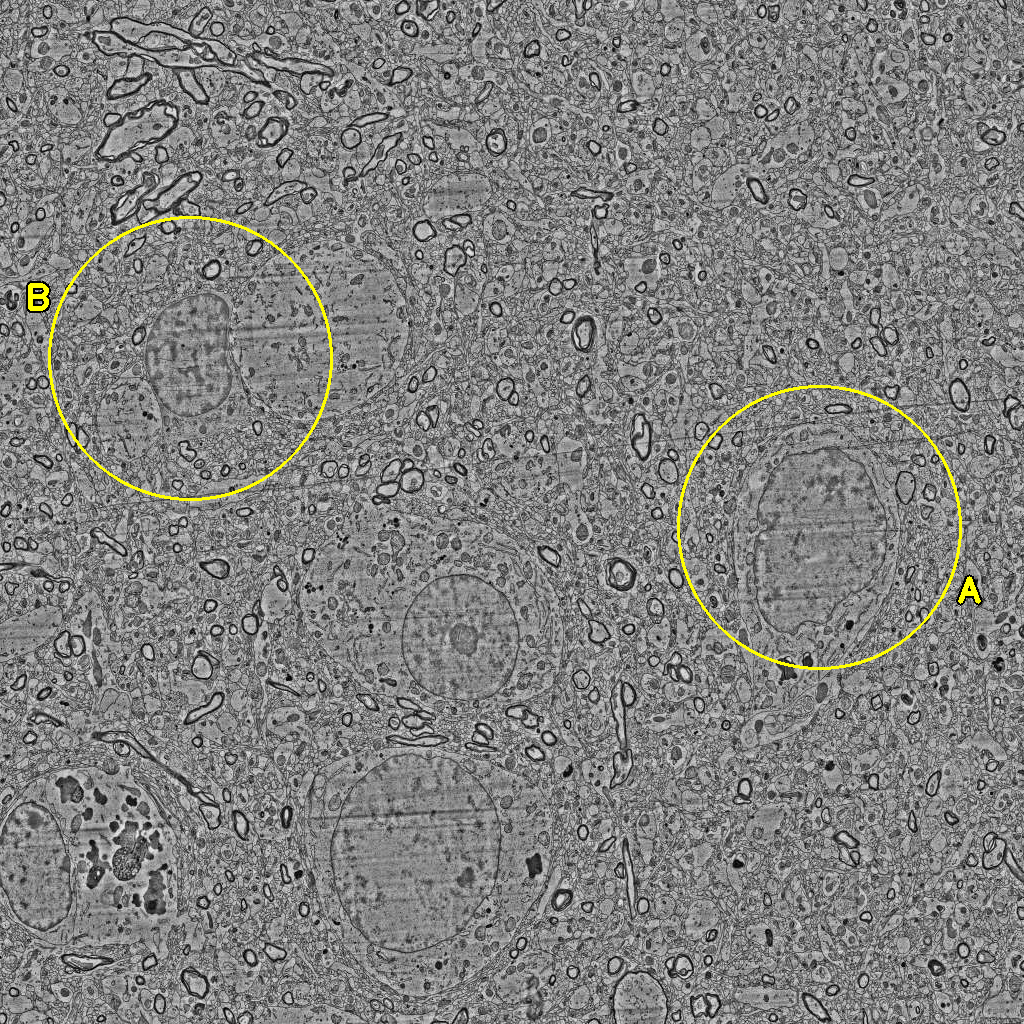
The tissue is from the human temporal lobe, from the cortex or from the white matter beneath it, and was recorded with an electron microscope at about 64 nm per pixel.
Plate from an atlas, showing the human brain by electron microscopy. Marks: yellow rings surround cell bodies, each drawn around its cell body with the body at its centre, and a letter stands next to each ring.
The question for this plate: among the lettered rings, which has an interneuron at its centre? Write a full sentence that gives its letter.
Ring A holds at its centre the cell that the question asks about in the picture.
